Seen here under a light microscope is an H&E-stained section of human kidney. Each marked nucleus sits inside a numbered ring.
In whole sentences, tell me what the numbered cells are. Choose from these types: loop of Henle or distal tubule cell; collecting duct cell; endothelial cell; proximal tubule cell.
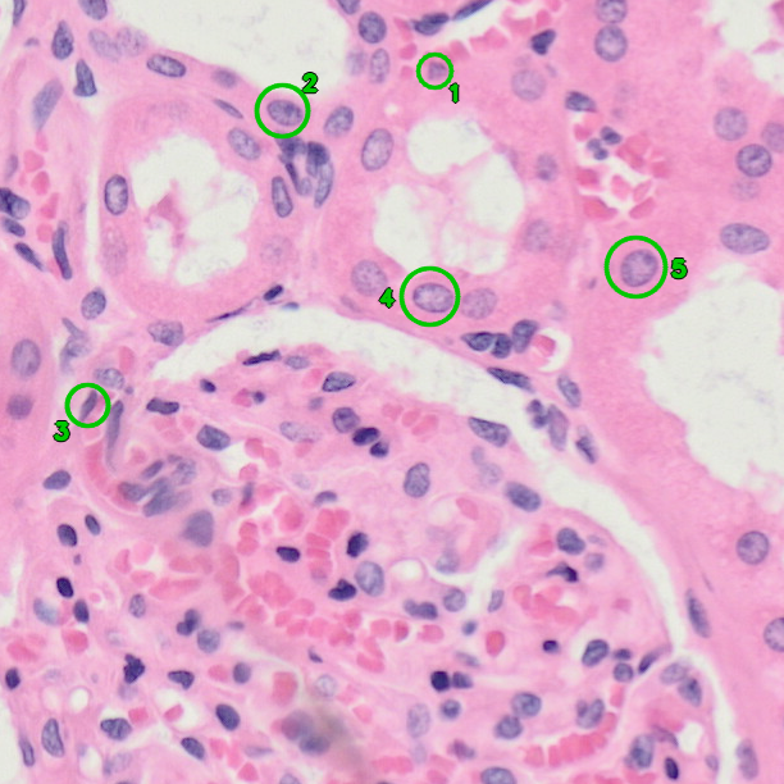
Cell 1 is an endothelial cell, cell 2 is a collecting duct cell, cell 3 is an endothelial cell, cell 4 is a proximal tubule cell and cell 5 is a proximal tubule cell.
